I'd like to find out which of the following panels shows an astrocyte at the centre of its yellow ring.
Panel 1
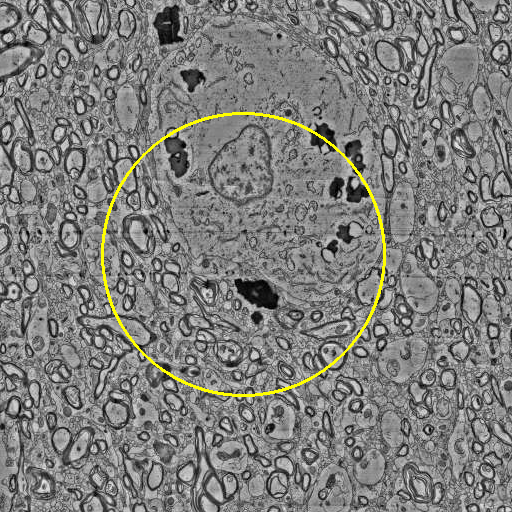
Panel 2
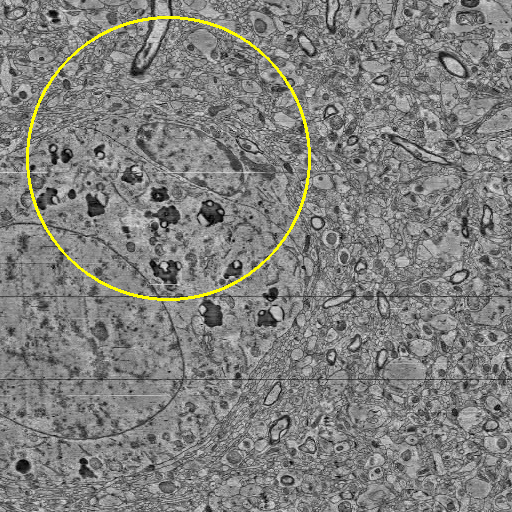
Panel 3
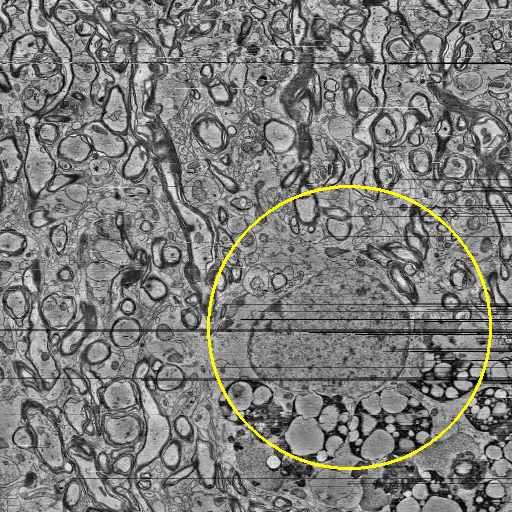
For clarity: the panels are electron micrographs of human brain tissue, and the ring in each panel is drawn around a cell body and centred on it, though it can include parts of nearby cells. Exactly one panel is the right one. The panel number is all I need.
3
